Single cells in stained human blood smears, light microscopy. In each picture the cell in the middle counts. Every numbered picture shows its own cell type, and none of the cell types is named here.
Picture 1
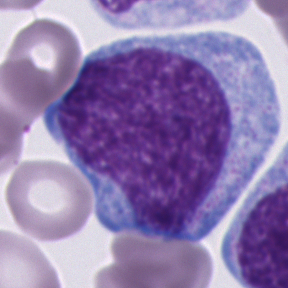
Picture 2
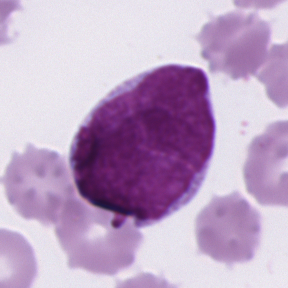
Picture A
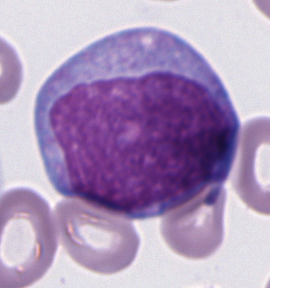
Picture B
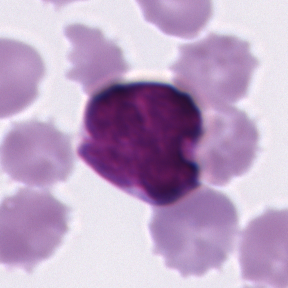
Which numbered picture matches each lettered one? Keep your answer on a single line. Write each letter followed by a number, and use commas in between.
A 1, B 2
